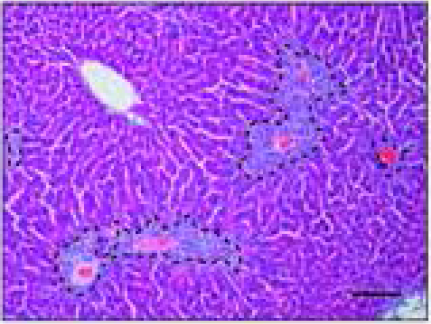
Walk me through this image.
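This is a liver section with cords of hepatocytes and small outlined necrotic areas. The hepatocytes are pink with purple nuclei and are arranged in cords separated by clear white sinusoidal spaces. An open vein lumen is seen toward the upper left. Black dashed lines enclose small irregular foci near vessels, filled with clustered purple cells and some red material. Outside these foci the cord pattern is preserved.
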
